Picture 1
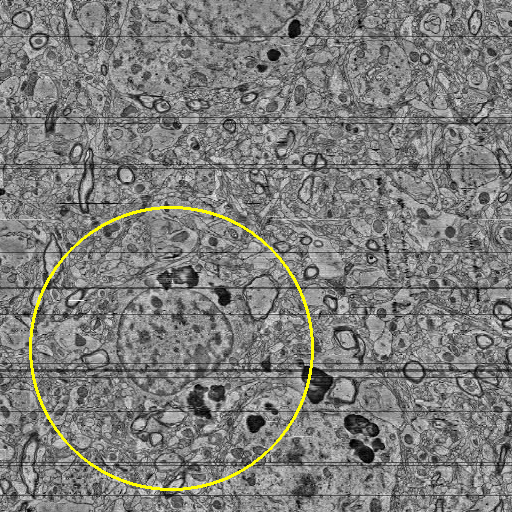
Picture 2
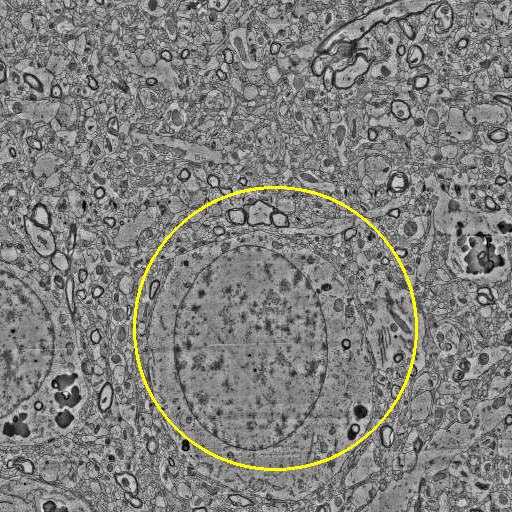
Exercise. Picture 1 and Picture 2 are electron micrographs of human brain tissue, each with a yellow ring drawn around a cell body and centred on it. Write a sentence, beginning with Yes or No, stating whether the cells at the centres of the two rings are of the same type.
No, the cells at the centres of the rings are of two types.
